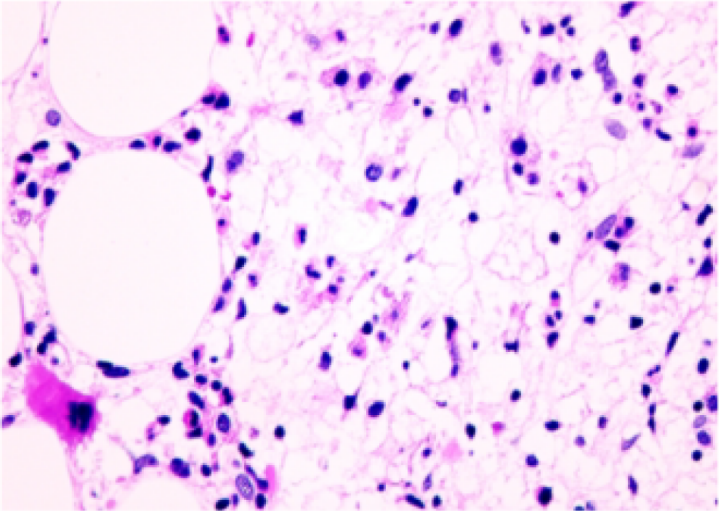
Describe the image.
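Bone marrow interstitium with serous degeneration, beside fat cells. Large empty round fat vacuoles lie at the left, with cells holding dark nuclei squeezed between them. To the right, the space is filled with pale, loose, finely fibrillar pink material in which scattered cells with small dark round or oval nuclei lie far apart. At the lower left there is a large cell with abundant deep pink cytoplasm and a dark nucleus.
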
